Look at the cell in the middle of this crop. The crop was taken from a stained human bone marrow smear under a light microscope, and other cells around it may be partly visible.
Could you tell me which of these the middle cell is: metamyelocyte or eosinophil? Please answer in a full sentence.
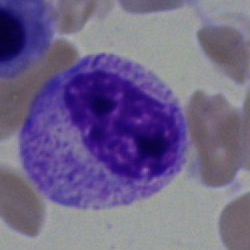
The central cell shown in this smear crop is a metamyelocyte.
